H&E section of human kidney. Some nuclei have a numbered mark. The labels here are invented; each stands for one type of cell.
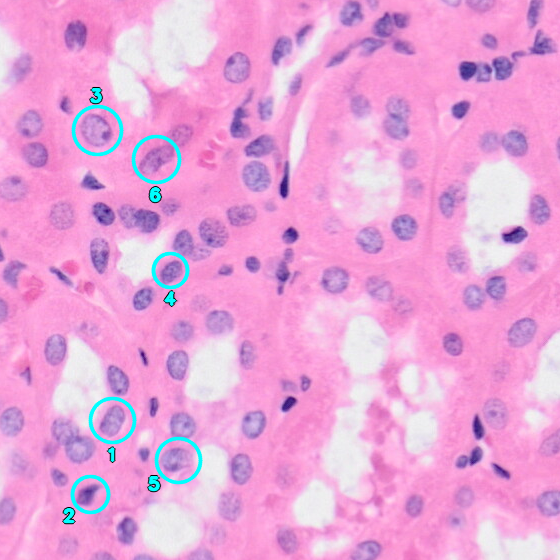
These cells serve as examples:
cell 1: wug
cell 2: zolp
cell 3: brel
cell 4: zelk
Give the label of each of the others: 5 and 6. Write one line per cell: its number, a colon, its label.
5: wug
6: brel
